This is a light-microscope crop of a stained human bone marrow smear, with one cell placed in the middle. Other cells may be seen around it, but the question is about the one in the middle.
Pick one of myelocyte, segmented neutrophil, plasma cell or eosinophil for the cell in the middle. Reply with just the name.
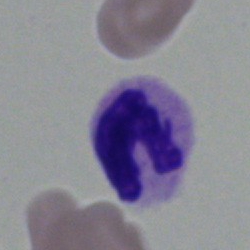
segmented neutrophil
